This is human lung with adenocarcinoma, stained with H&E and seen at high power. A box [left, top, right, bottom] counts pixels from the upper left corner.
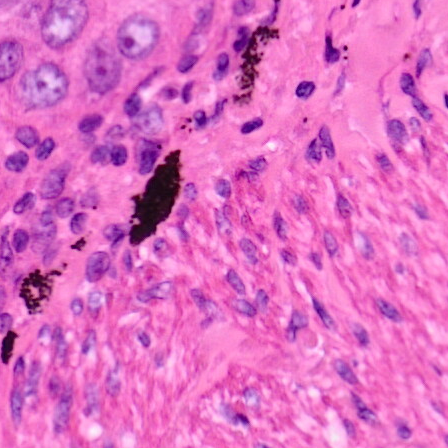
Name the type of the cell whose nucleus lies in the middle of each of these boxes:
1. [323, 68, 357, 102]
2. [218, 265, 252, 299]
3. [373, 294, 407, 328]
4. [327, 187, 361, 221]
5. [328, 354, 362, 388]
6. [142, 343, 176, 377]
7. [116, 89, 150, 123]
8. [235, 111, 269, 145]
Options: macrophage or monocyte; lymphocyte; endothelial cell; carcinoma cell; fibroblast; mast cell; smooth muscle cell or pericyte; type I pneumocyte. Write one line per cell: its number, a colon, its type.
1: fibroblast
2: smooth muscle cell or pericyte
3: smooth muscle cell or pericyte
4: smooth muscle cell or pericyte
5: smooth muscle cell or pericyte
6: smooth muscle cell or pericyte
7: lymphocyte
8: lymphocyte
